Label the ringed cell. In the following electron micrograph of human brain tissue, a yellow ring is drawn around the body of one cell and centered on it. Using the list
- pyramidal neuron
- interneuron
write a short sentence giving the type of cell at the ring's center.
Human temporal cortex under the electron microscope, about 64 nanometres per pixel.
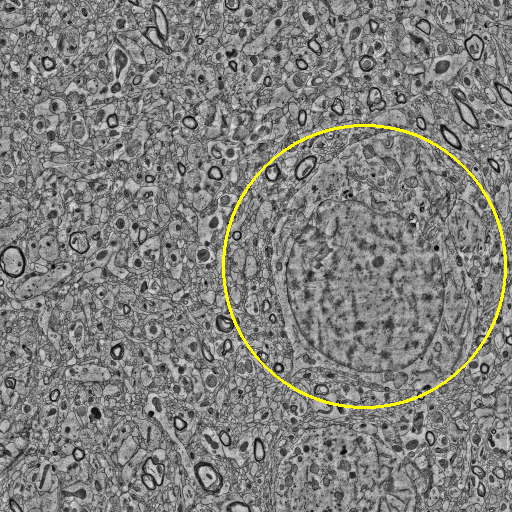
The cell body at the ring's center is that of an interneuron.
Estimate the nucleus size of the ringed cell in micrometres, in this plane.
Roughly 11 micrometres across, measured in this plane.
